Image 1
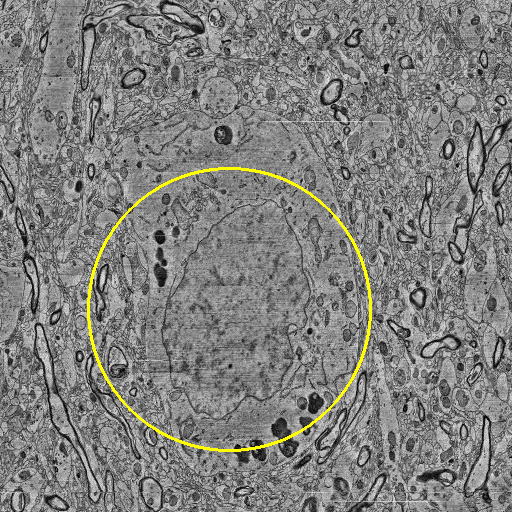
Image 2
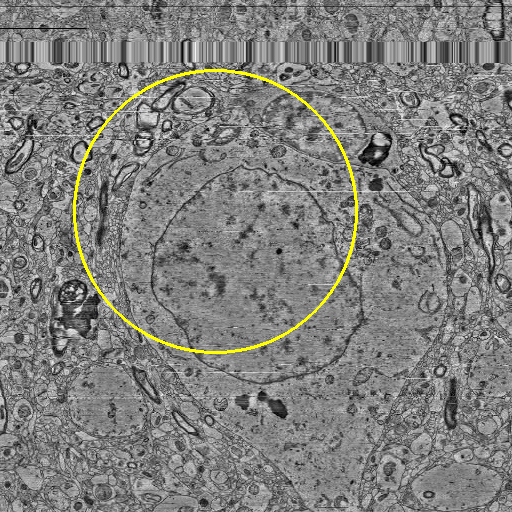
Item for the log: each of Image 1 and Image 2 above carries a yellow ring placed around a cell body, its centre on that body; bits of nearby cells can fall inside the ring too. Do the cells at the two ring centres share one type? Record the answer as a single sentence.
Yes, the two cells at the ring centres in Image 1 and Image 2 share one type.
